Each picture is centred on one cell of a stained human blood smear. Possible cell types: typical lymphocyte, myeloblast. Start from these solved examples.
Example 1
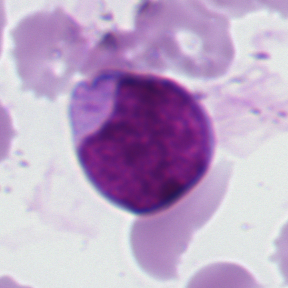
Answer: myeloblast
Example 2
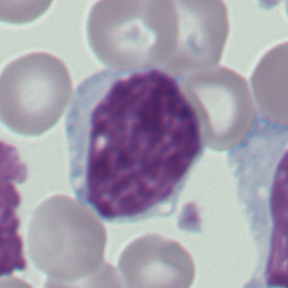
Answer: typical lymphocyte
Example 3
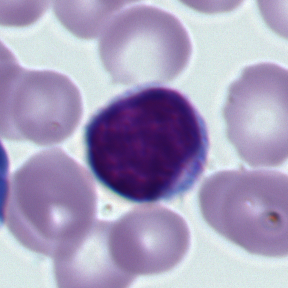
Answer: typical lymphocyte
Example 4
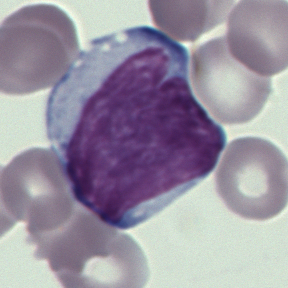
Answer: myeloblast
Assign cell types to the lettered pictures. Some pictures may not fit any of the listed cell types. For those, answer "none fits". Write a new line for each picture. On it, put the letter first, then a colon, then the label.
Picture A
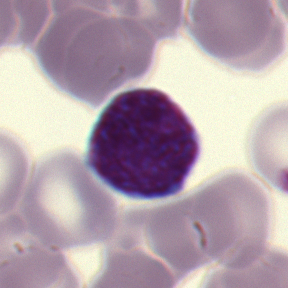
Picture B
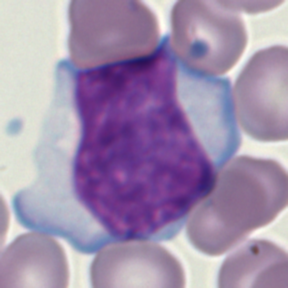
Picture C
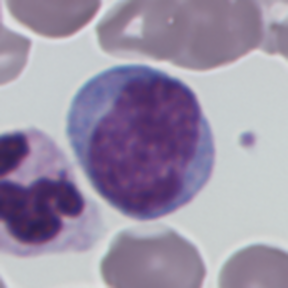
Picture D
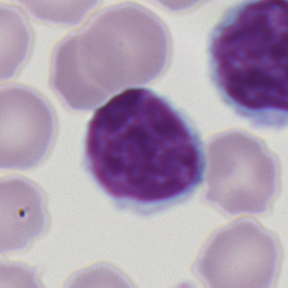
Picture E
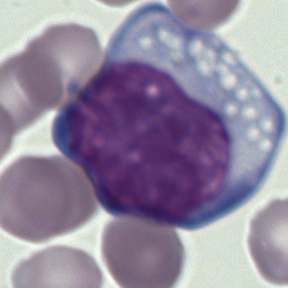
A: typical lymphocyte
B: myeloblast
C: none fits
D: typical lymphocyte
E: myeloblast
